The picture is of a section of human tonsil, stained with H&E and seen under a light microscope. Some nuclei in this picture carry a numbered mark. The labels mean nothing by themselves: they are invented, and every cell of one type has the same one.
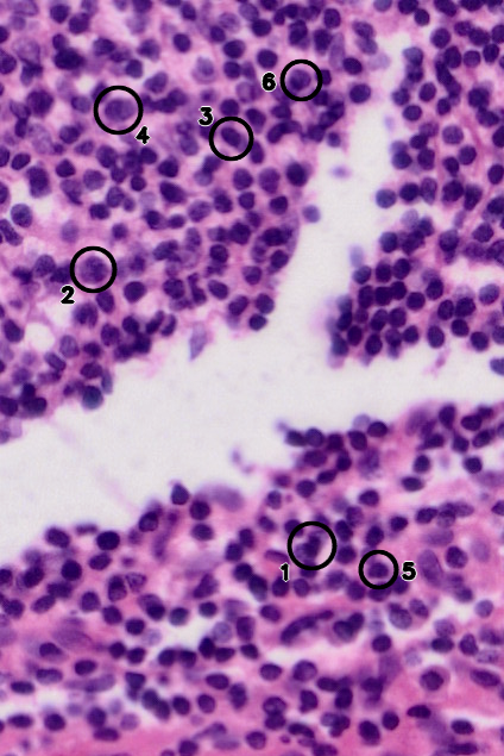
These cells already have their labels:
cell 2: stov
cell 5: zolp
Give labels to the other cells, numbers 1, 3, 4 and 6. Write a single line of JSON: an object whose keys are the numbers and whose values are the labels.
{"1": "zolp", "3": "zolp", "4": "stov", "6": "zolp"}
